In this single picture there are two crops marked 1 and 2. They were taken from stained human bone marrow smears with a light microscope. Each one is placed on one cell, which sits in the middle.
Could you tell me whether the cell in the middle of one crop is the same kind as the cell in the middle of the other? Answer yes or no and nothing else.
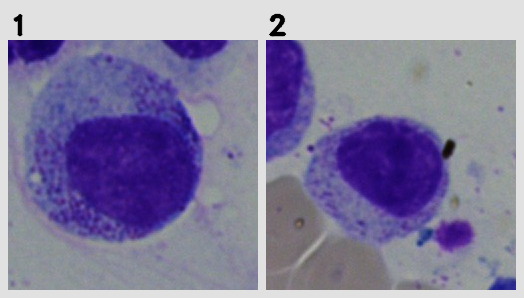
yes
